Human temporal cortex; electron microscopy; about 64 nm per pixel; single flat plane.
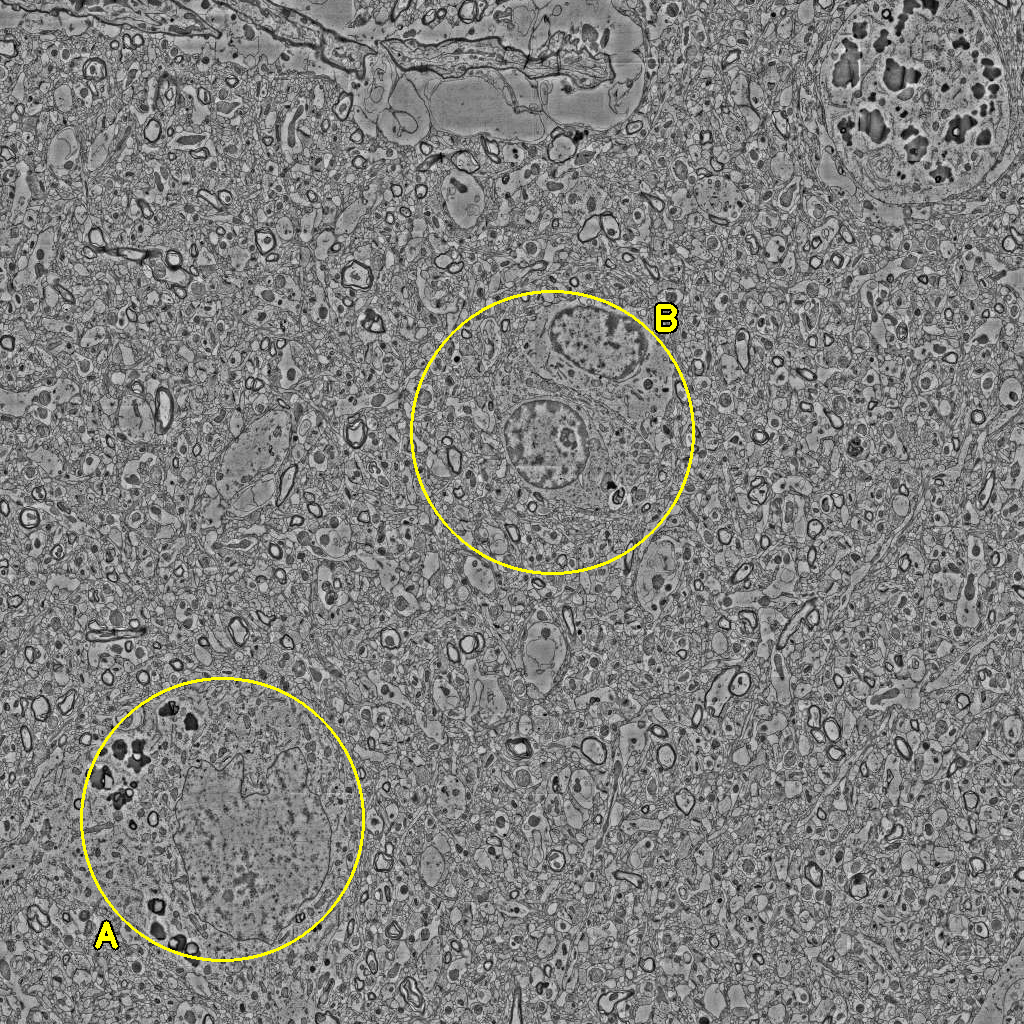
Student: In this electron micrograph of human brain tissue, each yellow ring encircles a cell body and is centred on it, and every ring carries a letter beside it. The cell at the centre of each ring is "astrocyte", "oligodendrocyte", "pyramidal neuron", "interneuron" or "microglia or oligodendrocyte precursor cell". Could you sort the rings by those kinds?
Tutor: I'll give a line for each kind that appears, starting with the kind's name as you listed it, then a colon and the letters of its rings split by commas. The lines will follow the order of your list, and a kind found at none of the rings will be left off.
oligodendrocyte: B
pyramidal neuron: A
